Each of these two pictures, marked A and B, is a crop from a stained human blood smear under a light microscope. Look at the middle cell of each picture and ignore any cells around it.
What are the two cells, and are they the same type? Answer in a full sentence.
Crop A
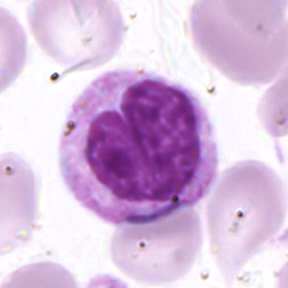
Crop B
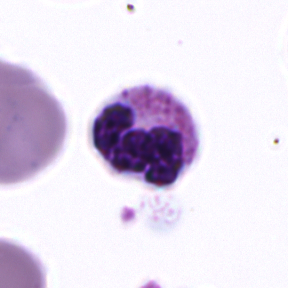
No, an eosinophil is depicted in crop B, whereas a band neutrophil is depicted in crop A.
